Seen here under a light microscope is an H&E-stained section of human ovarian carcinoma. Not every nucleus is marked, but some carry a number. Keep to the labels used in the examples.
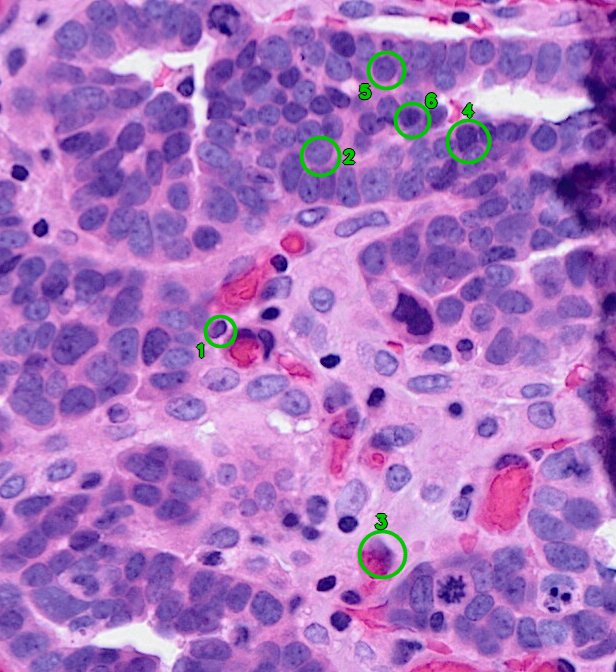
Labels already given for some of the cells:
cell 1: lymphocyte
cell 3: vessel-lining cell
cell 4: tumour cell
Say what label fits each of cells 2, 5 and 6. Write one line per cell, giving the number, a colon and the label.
2: tumour cell
5: tumour cell
6: tumour cell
